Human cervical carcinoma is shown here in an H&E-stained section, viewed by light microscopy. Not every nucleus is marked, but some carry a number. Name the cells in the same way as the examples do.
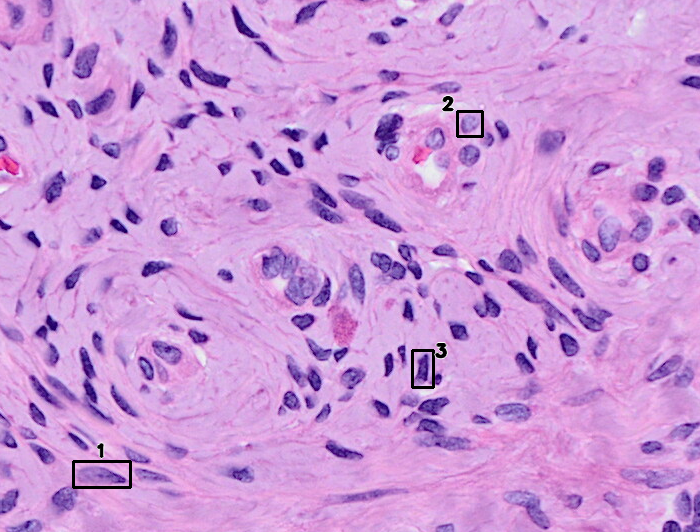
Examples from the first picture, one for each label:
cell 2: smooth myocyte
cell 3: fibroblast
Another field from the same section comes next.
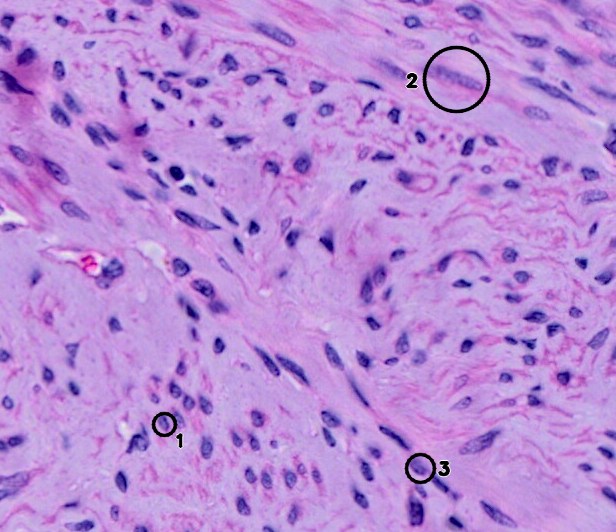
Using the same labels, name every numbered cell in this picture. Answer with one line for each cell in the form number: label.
1: smooth myocyte
2: smooth myocyte
3: fibroblast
